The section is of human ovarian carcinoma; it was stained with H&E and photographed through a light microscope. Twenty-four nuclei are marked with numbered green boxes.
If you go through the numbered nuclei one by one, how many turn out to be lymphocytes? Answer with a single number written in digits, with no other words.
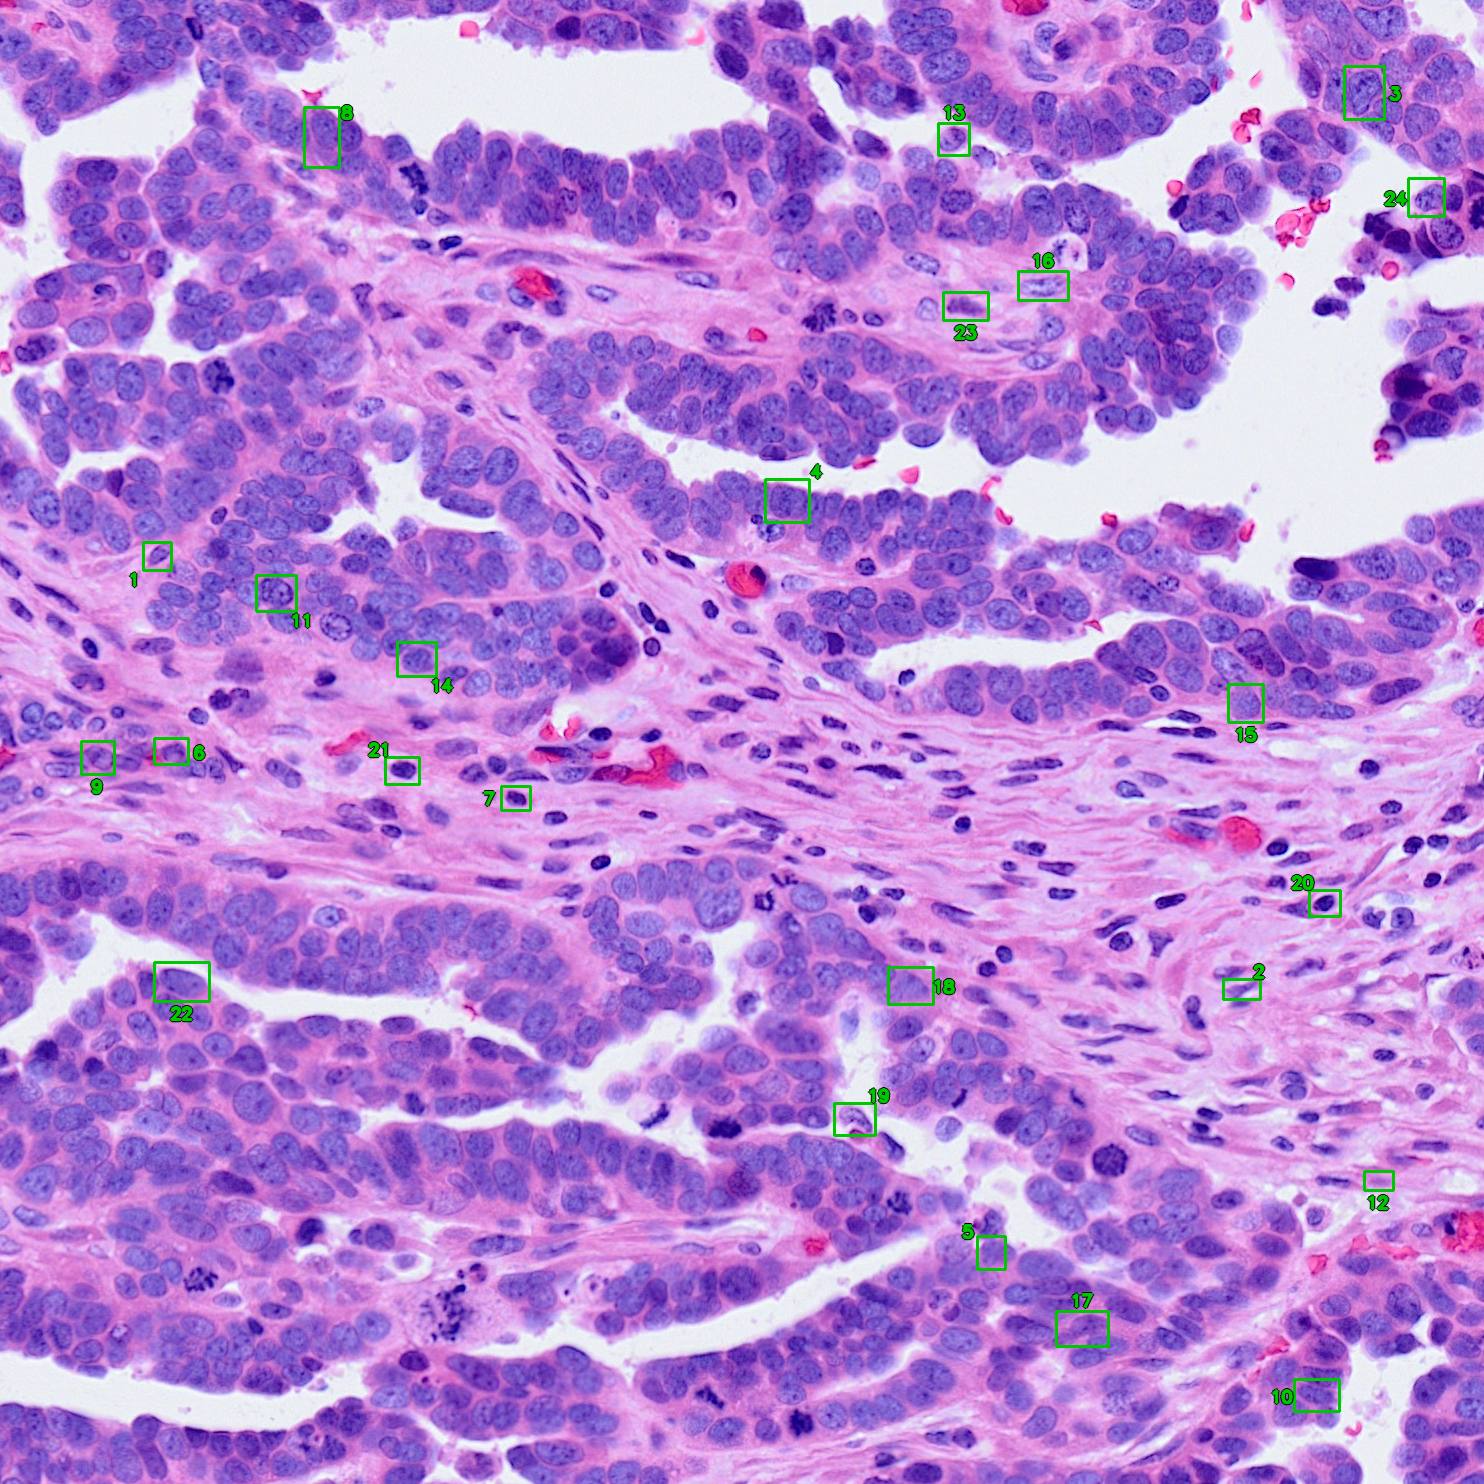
3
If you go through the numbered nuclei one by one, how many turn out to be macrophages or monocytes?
4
